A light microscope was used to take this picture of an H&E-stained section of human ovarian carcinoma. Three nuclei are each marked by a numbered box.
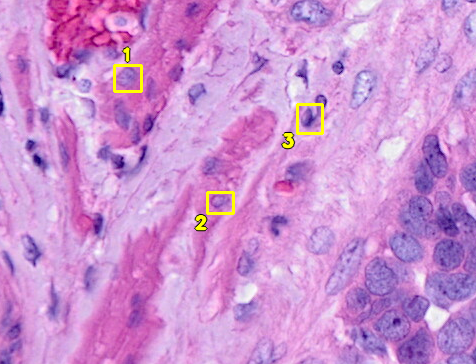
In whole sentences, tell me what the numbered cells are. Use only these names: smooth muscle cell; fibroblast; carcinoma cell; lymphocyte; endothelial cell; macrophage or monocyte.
Cell 1 is a smooth muscle cell, cell 2 is a smooth muscle cell and cell 3 is a macrophage or monocyte.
